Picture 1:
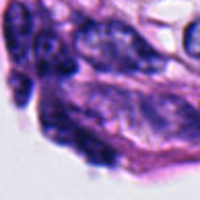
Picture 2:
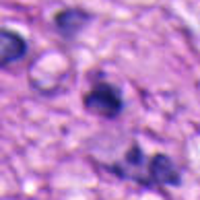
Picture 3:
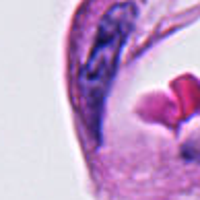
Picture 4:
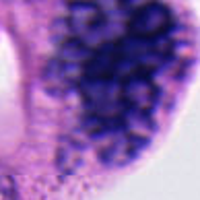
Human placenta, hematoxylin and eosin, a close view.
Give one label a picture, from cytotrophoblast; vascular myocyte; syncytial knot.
1: cytotrophoblast
2: vascular myocyte
3: cytotrophoblast
4: syncytial knot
